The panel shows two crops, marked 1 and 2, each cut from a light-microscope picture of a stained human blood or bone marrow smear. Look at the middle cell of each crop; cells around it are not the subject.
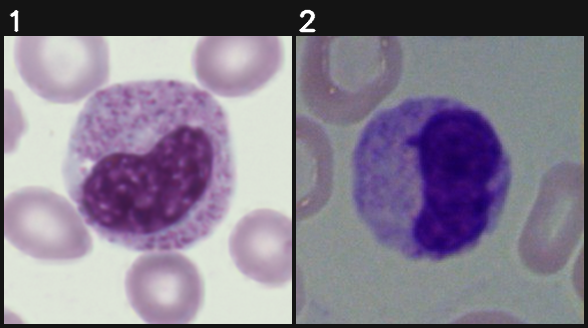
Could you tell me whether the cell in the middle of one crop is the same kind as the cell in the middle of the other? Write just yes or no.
no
